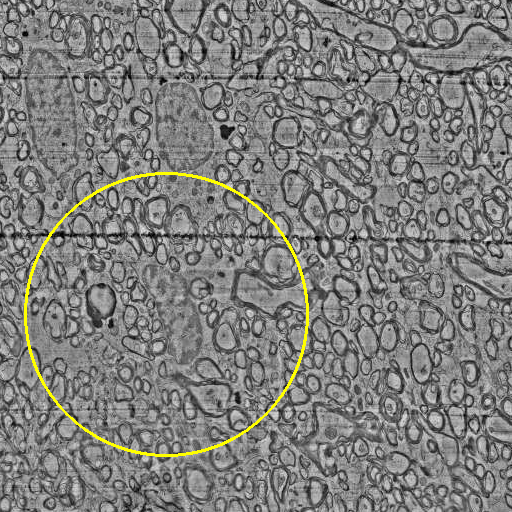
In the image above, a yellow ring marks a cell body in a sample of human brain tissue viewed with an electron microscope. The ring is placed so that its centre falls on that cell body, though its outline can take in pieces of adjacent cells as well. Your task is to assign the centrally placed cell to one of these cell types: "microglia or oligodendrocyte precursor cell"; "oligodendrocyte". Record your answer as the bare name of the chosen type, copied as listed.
oligodendrocyte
